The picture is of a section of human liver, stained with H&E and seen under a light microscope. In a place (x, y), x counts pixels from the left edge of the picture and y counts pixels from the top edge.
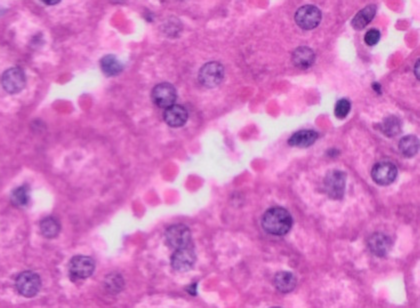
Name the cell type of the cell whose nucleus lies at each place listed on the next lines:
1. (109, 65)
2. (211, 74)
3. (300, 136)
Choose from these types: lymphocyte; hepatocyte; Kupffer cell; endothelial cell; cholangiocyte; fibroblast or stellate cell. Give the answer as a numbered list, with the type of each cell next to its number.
1. endothelial cell
2. hepatocyte
3. Kupffer cell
